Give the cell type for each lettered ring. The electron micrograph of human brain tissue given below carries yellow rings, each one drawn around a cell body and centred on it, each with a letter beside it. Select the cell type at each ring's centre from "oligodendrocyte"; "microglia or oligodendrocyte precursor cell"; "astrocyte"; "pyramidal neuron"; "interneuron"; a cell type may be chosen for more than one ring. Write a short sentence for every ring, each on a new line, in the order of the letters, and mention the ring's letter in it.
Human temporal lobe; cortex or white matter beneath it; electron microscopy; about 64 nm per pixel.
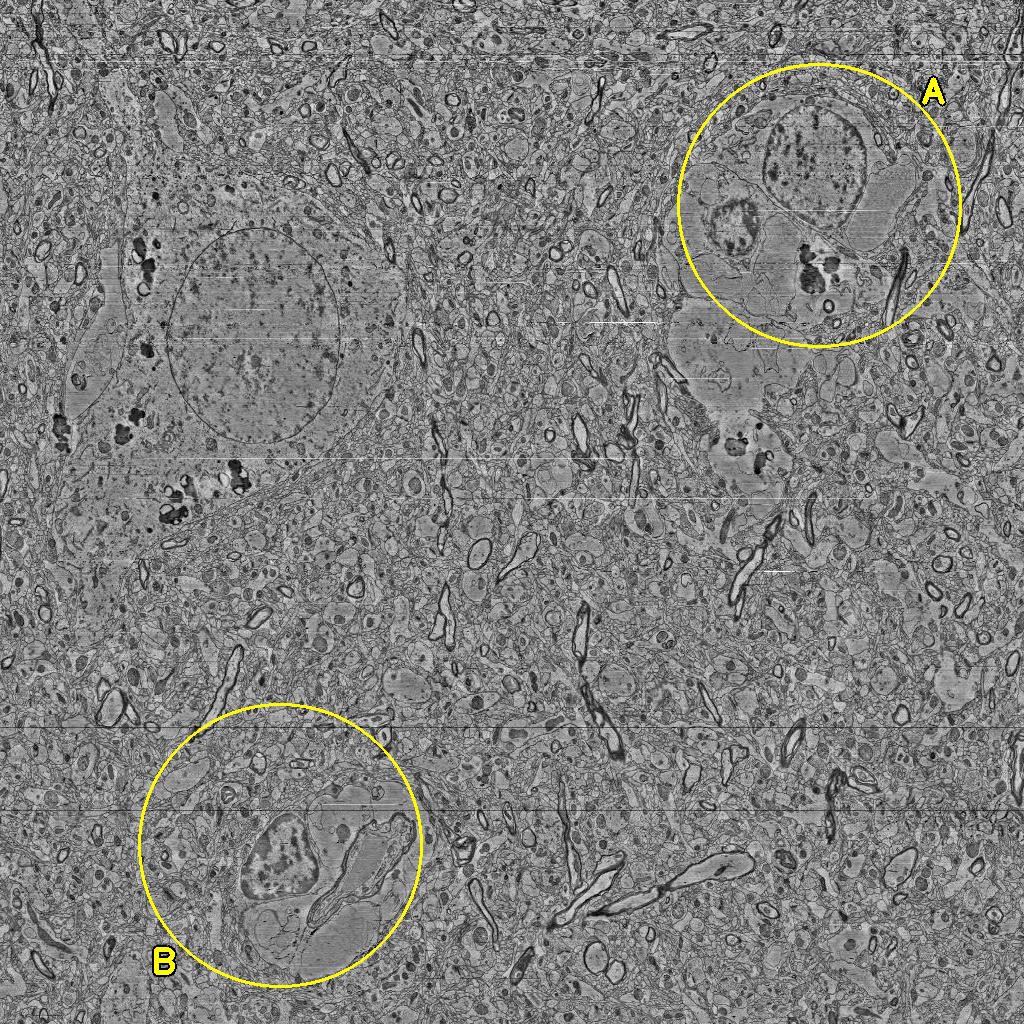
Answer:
The cell type for ring A is an astrocyte.
The cell type for ring B is a microglial cell or oligodendrocyte precursor cell.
